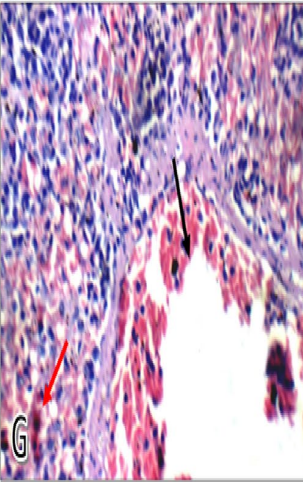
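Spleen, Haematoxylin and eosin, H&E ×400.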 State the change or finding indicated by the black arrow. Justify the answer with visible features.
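Red blood cells crowd along the inner wall of the lumen. That points to this answer: markedly dilated congested blood vessels.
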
